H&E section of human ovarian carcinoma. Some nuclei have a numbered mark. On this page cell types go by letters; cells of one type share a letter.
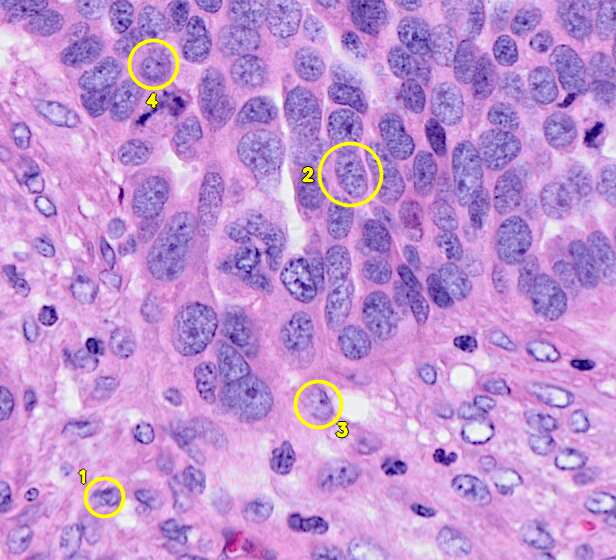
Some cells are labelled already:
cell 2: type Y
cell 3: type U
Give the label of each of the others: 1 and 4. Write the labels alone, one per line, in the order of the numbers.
type U
type Y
